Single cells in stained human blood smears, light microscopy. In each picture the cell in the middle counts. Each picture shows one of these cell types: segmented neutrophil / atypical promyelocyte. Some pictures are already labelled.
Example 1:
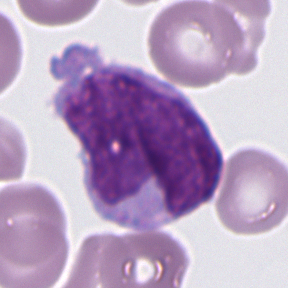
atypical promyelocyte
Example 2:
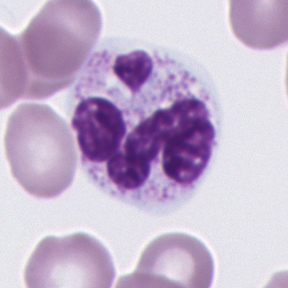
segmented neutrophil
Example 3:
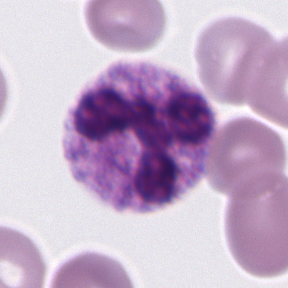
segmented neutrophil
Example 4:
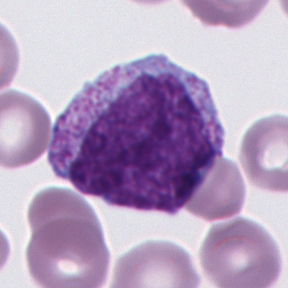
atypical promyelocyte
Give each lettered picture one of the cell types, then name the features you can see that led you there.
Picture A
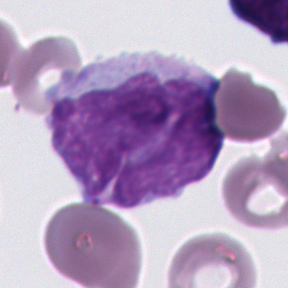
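Answer: atypical promyelocyte. The nucleus fills most of the cell, leaving little cytoplasm.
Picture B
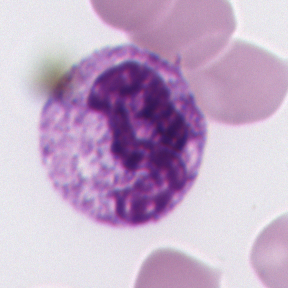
Answer: segmented neutrophil. The nucleus is divided into several connected lobes.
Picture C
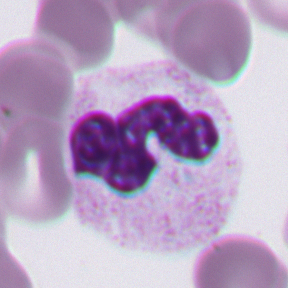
Answer: segmented neutrophil. The cytoplasm is plentiful and pale pink.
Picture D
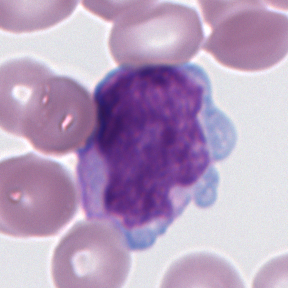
Answer: atypical promyelocyte. The nucleus fills most of the cell.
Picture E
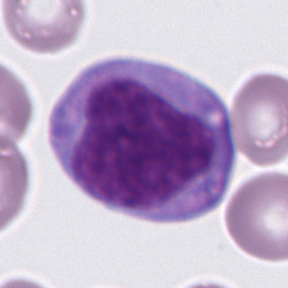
Answer: atypical promyelocyte. The nucleus is large and fills most of the cell.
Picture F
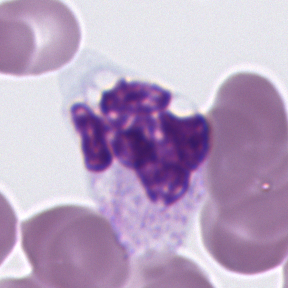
Answer: segmented neutrophil. The nucleus is divided into several lobes crowded together.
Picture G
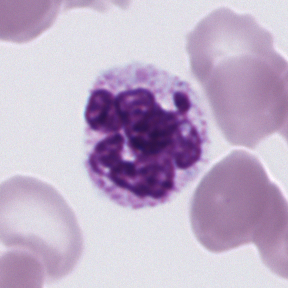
Answer: segmented neutrophil. The nucleus is split into more than four separate lobes.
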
